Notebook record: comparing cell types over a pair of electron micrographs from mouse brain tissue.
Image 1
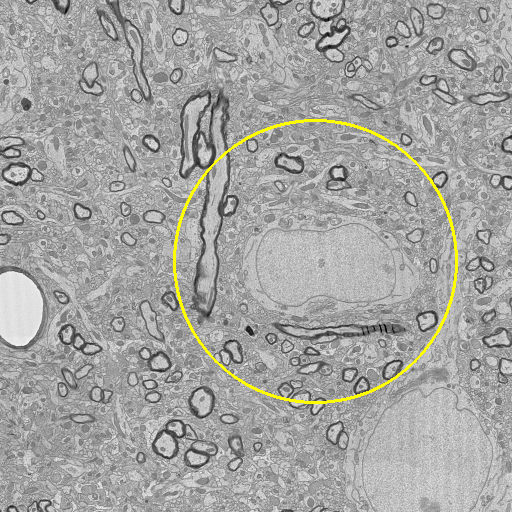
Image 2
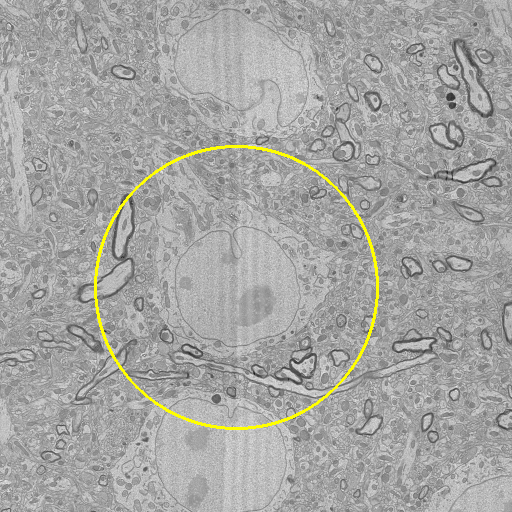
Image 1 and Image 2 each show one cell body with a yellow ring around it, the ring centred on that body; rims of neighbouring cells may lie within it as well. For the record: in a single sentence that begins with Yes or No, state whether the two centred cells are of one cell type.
Yes, one cell type is shared by the centred cells of Image 1 and Image 2.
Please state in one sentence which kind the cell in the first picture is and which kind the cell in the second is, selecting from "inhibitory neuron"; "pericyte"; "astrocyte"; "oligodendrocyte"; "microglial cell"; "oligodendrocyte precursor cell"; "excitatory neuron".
The ring centre holds an excitatory neuron in each of the two pictures.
